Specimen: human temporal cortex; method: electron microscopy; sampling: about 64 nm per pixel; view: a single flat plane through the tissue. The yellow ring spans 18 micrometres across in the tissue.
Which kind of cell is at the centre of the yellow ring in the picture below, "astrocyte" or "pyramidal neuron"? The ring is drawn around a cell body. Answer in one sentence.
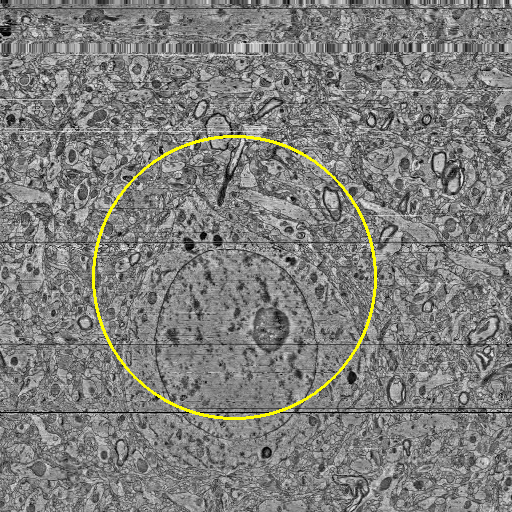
The ring's central cell is a pyramidal neuron.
